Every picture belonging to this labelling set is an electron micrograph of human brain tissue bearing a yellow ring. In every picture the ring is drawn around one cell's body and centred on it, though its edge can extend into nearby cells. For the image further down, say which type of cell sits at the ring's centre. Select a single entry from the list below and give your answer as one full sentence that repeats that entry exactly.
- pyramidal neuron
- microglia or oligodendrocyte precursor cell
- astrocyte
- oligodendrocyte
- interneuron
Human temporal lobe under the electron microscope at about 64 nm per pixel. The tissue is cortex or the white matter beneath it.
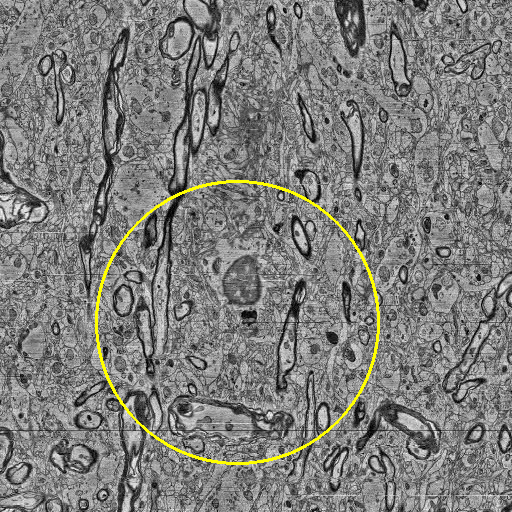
In the picture, a microglial cell or oligodendrocyte precursor cell is the cell at the centre of the yellow ring.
